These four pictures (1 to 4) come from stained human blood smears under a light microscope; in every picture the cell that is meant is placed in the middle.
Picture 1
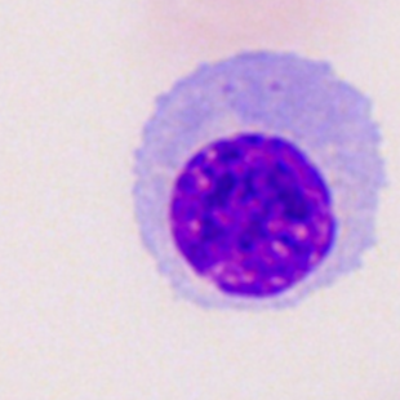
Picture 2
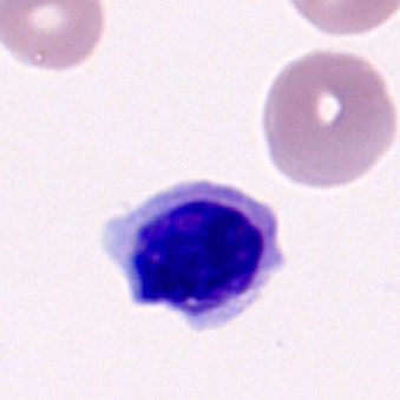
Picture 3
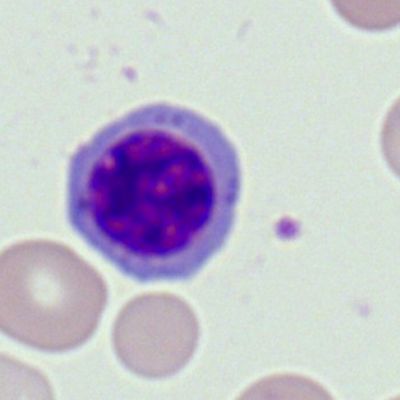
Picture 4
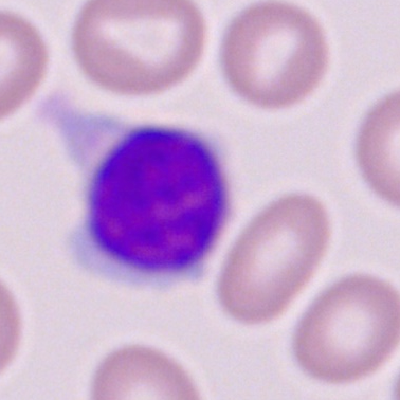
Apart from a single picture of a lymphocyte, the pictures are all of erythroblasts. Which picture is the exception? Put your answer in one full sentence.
Picture 4 is the one that shows the lymphocyte.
